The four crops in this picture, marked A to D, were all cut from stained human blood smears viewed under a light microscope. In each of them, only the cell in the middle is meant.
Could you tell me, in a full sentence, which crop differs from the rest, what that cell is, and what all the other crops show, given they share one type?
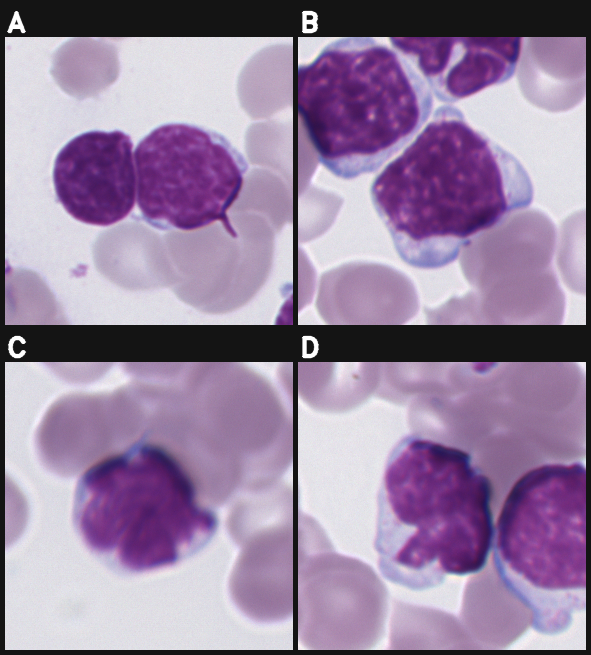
Here the outlier is crop A, which is a myeloblast, and the rest are large granular lymphocytes.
